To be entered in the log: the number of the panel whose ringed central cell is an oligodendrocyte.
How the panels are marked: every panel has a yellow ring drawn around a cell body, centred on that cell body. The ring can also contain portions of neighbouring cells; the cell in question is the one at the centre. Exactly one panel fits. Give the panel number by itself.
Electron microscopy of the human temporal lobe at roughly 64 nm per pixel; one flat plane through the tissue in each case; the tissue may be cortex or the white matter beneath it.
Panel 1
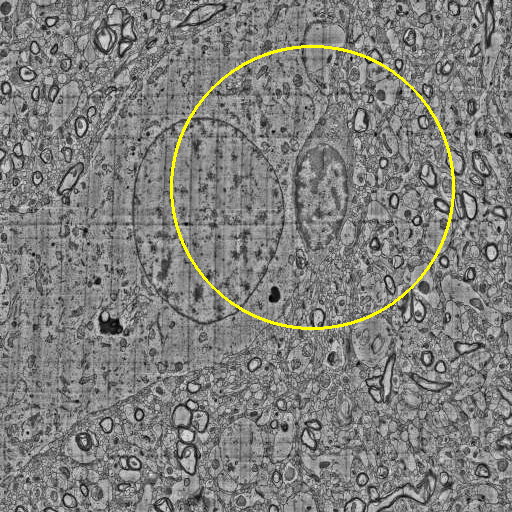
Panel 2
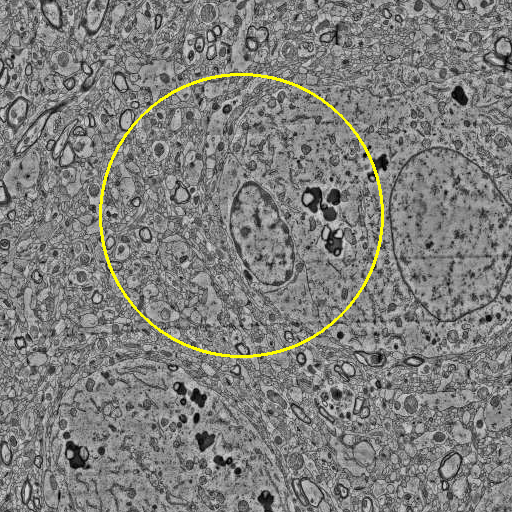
1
